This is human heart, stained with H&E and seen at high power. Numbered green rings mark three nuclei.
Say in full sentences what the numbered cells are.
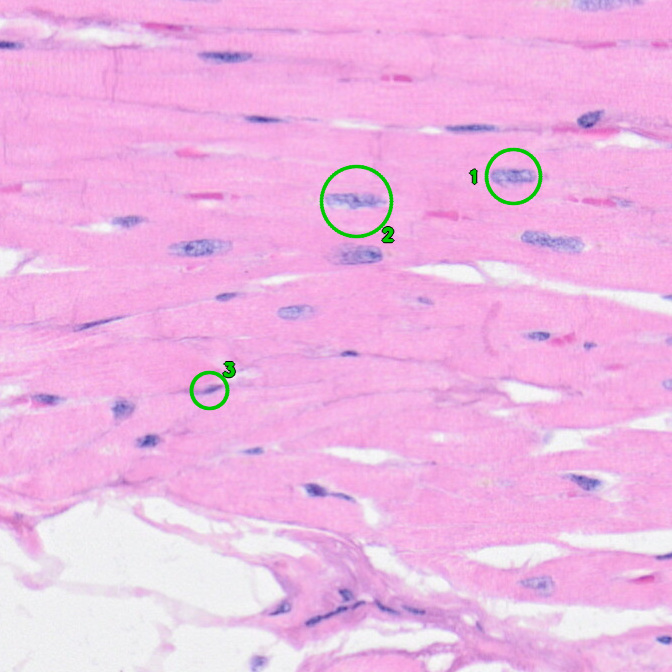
Cell 1 is a cardiomyocyte, cell 2 is a cardiomyocyte and cell 3 is an endothelial cell.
